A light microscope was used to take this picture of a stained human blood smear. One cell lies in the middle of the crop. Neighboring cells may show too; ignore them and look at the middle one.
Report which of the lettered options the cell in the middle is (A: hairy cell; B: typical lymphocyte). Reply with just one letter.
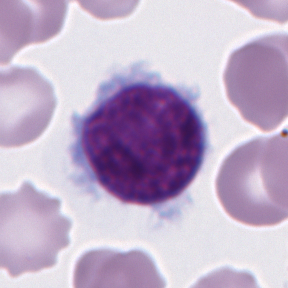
A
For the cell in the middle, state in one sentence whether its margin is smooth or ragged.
Its outline is ragged or drawn out into projections, not smooth.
